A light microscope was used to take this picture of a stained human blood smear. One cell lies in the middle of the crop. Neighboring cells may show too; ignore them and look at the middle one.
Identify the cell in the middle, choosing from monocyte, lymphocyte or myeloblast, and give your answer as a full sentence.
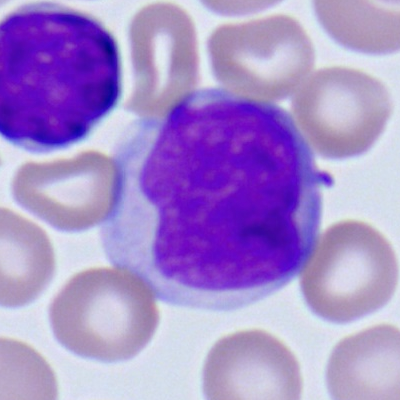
In this smear crop, the middle cell is a myeloblast.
